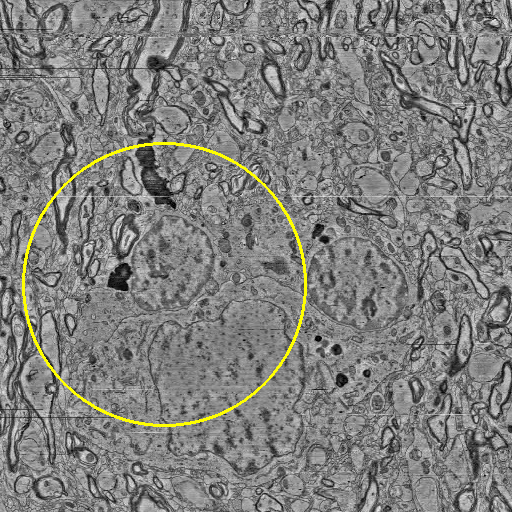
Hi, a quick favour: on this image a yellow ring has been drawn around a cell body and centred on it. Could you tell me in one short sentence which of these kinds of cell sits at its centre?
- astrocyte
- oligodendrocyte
The ring is centred on an oligodendrocyte.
